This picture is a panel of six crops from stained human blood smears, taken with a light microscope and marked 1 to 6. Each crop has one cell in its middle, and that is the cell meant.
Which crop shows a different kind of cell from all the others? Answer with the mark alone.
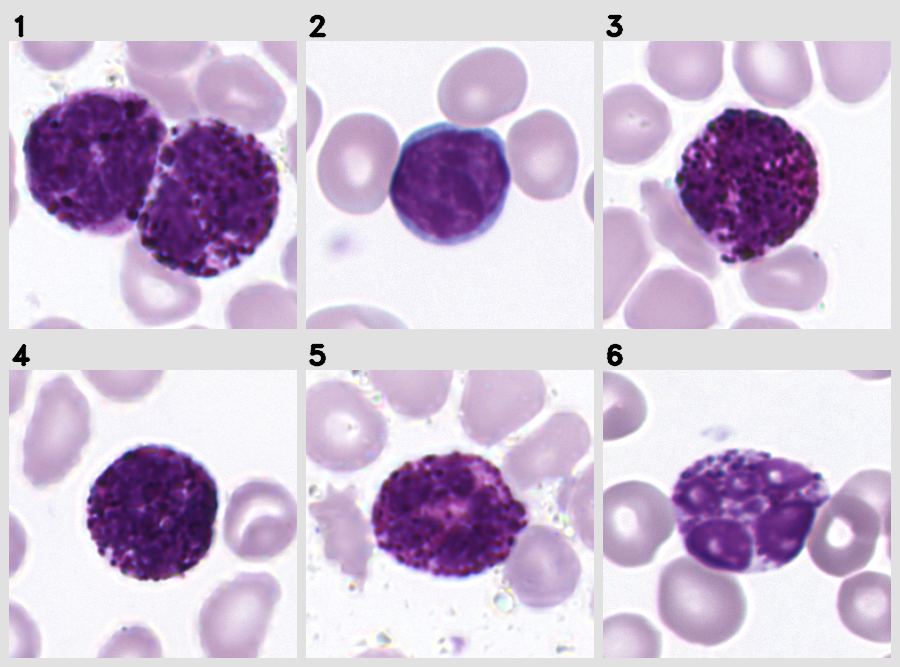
2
